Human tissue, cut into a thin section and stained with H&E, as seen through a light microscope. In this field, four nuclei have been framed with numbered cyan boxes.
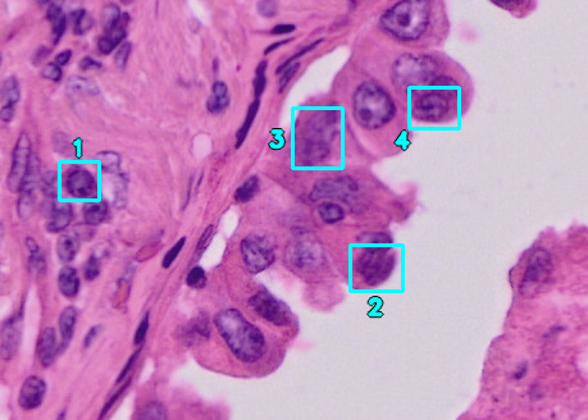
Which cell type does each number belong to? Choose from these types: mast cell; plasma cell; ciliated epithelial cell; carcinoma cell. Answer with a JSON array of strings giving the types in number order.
["plasma cell", "carcinoma cell", "carcinoma cell", "carcinoma cell"]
